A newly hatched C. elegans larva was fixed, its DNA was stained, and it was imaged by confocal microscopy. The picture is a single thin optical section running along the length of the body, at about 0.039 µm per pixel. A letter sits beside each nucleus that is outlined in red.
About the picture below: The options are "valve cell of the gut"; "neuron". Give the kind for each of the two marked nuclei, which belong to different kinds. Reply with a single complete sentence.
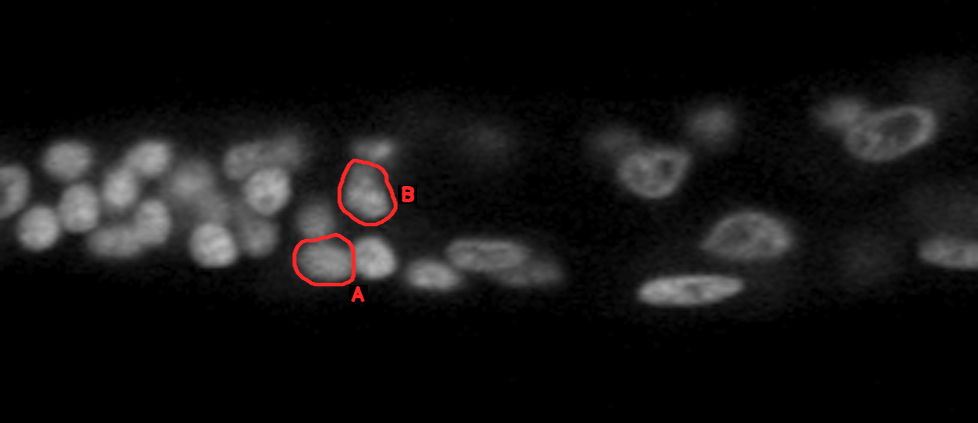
B belongs to a valve cell of the gut, and A to a neuron.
